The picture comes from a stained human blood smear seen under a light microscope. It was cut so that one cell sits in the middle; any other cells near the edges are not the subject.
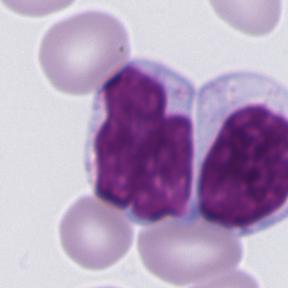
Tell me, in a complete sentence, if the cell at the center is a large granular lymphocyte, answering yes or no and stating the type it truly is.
Yes, the cell positioned in the middle is a large granular lymphocyte.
